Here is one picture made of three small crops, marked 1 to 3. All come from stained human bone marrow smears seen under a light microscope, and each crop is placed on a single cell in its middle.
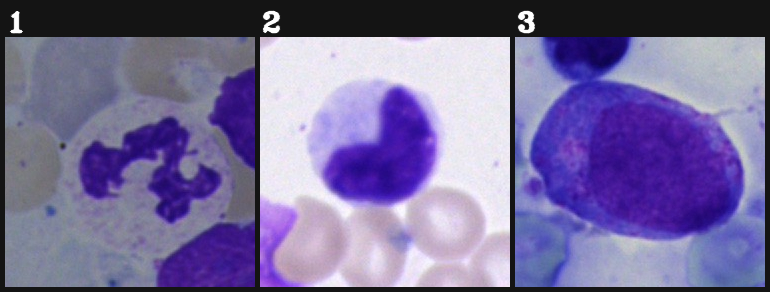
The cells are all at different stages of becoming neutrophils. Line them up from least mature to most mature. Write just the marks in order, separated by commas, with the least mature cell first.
3, 2, 1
